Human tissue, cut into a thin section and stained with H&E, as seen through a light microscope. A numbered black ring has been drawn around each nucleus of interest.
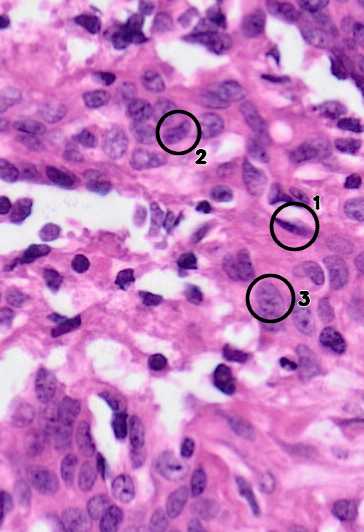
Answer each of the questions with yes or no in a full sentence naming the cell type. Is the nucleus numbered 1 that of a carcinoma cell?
No, number 1 does not mark a carcinoma cell; it marks an endothelial cell.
